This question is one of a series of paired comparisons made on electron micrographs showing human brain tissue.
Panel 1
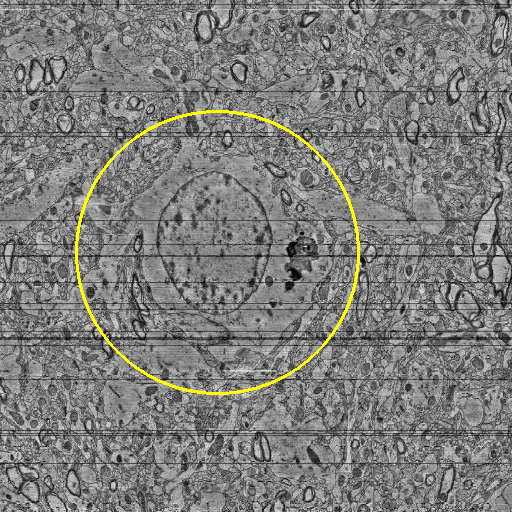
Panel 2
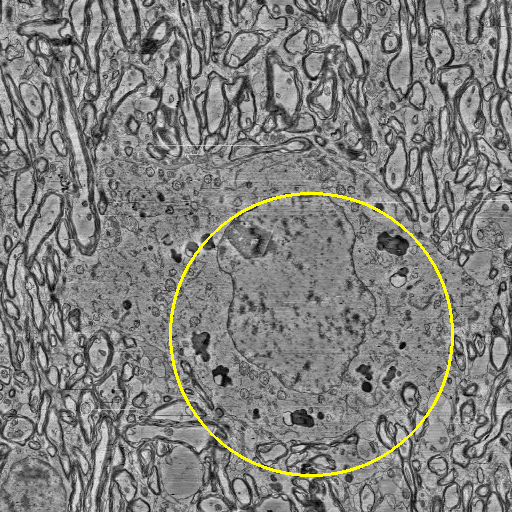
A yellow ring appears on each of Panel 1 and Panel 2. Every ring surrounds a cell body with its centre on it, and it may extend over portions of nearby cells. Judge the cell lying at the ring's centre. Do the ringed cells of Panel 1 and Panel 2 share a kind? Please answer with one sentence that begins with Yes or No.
No, the ring-centre cell in Panel 1 and the one in Panel 2 are of two kinds.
